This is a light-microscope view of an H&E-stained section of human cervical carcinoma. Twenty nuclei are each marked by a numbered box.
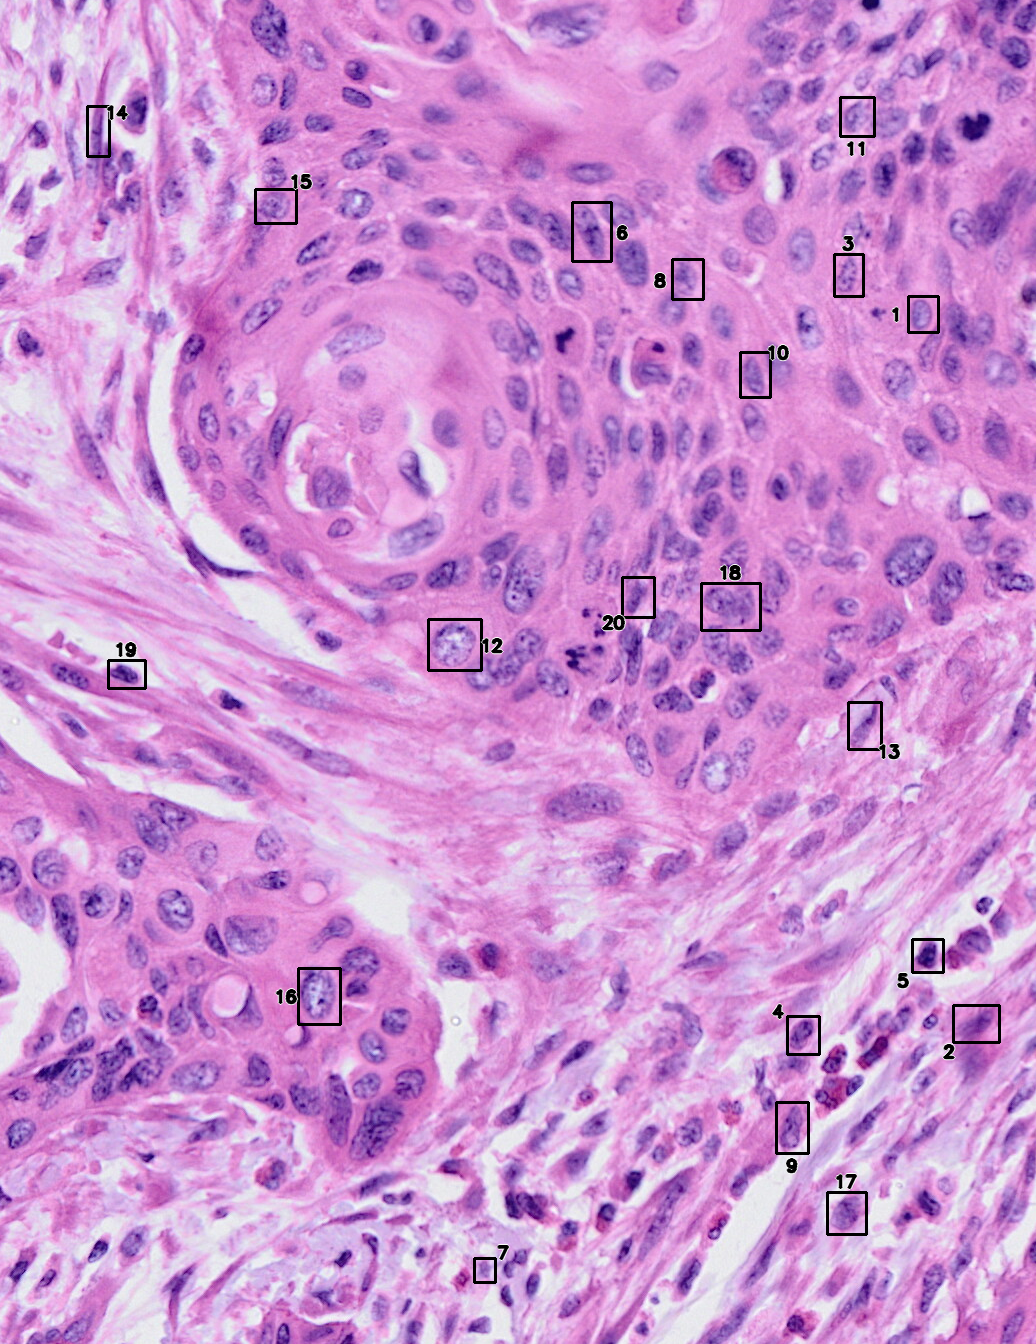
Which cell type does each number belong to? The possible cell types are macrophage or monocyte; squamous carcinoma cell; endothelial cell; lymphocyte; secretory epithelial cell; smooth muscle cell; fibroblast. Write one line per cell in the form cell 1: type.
cell 1: squamous carcinoma cell
cell 2: endothelial cell
cell 3: squamous carcinoma cell
cell 4: macrophage or monocyte
cell 5: lymphocyte
cell 6: squamous carcinoma cell
cell 7: fibroblast
cell 8: squamous carcinoma cell
cell 9: macrophage or monocyte
cell 10: squamous carcinoma cell
cell 11: squamous carcinoma cell
cell 12: squamous carcinoma cell
cell 13: fibroblast
cell 14: fibroblast
cell 15: squamous carcinoma cell
cell 16: squamous carcinoma cell
cell 17: macrophage or monocyte
cell 18: squamous carcinoma cell
cell 19: lymphocyte
cell 20: squamous carcinoma cell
